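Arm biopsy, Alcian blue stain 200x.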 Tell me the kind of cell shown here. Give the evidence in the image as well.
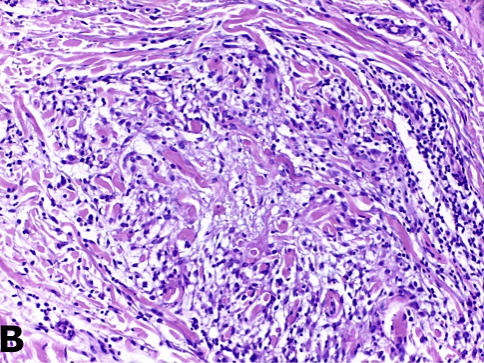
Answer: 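Many cells with oval to elongated pale nuclei and ill-defined cytoplasm lie between collagen bundles. The cells are arranged around a central area of pink collagen fragments. So: histocytes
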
